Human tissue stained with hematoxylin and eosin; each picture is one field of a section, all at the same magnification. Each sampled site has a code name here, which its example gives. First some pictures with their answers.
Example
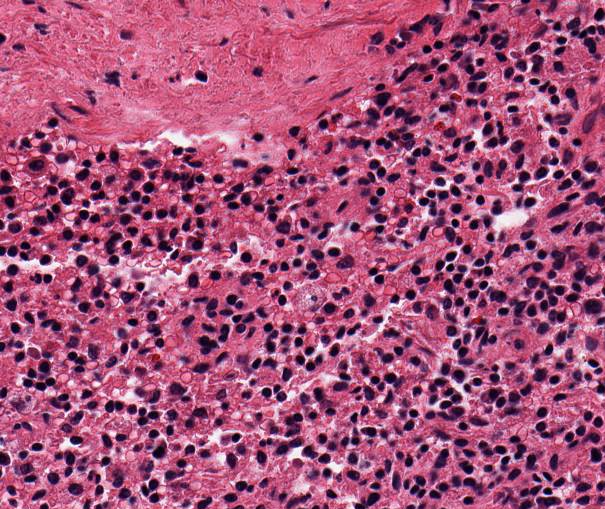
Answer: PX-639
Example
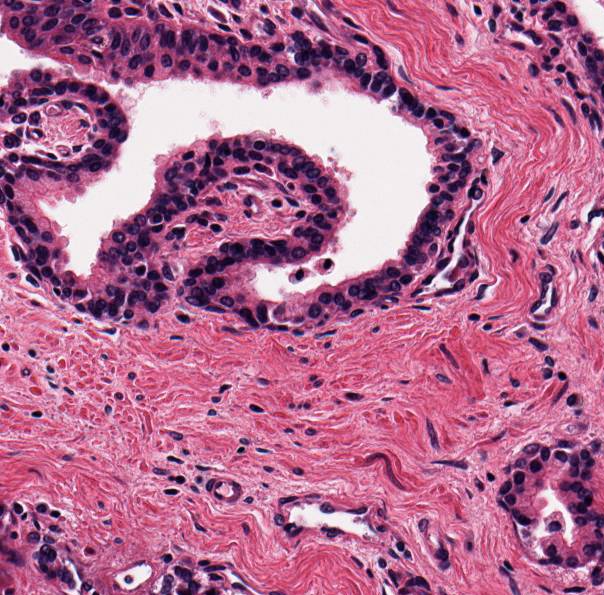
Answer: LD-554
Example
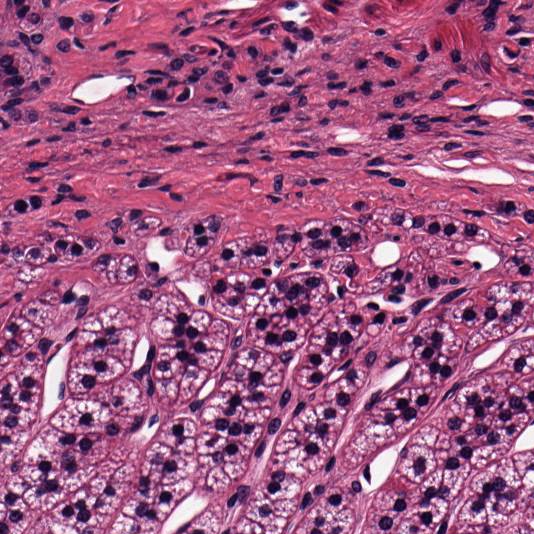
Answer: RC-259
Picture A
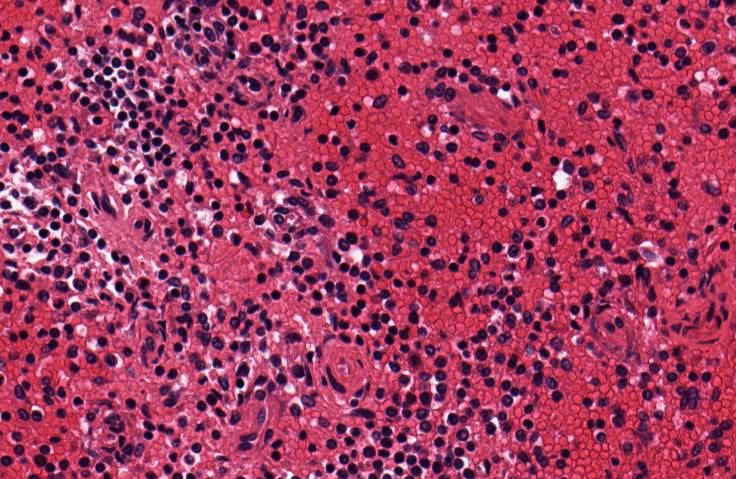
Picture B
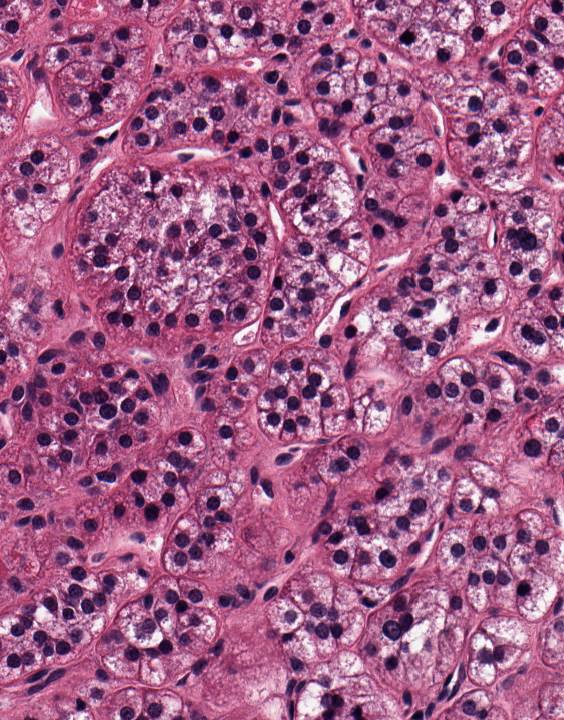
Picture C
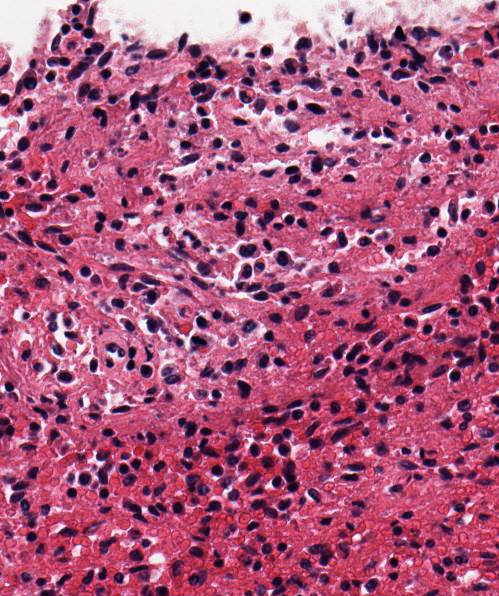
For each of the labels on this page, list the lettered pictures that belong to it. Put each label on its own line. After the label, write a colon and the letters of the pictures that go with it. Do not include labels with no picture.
PX-639: A, C
RC-259: B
